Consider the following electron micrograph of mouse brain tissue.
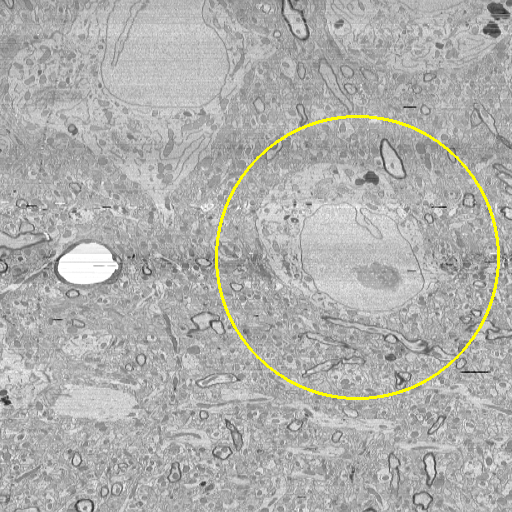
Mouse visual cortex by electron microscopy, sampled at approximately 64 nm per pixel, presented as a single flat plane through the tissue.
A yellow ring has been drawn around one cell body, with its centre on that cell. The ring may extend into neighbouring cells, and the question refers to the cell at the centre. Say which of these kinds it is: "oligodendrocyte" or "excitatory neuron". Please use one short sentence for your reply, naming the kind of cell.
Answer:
The centre of the ring falls on an excitatory neuron.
